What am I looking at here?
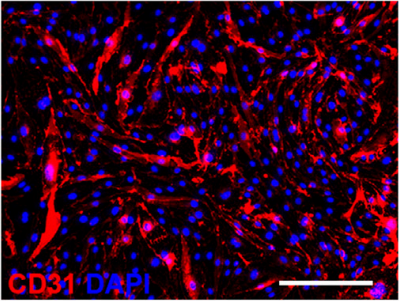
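This is a dense culture of endothelial cells spread over the surface as a near-continuous layer. The red staining outlines the cell bodies and their borders and is uneven from cell to cell: some cells are bright, while others are faint. The bright cells are mostly elongated or spindle-shaped with slender, tapering extensions. Some are flatter and more irregular, and their extensions reach toward or overlap neighbouring cells. No clear tubes or cords are seen; the cells lie flat as a sheet.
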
